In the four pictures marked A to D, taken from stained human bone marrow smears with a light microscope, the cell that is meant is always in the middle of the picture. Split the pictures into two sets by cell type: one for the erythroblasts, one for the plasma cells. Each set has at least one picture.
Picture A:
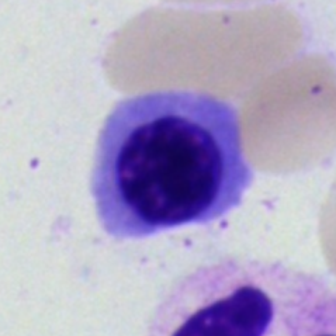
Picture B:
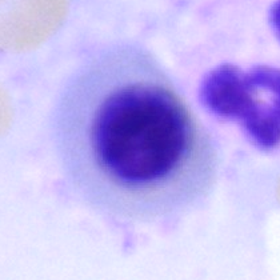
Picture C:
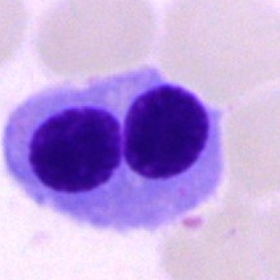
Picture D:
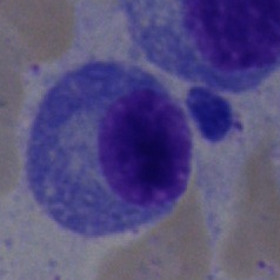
A: erythroblast
B: erythroblast
C: erythroblast
D: plasma cell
